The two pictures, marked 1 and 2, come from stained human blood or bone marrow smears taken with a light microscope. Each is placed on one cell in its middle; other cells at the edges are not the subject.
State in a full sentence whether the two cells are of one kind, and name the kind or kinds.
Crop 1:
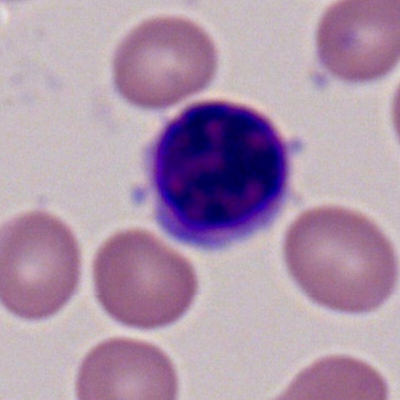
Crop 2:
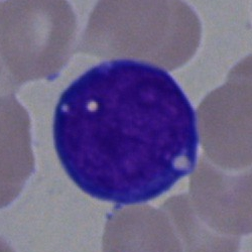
No, the cells are a lymphocyte in crop 1 and a blast in crop 2.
